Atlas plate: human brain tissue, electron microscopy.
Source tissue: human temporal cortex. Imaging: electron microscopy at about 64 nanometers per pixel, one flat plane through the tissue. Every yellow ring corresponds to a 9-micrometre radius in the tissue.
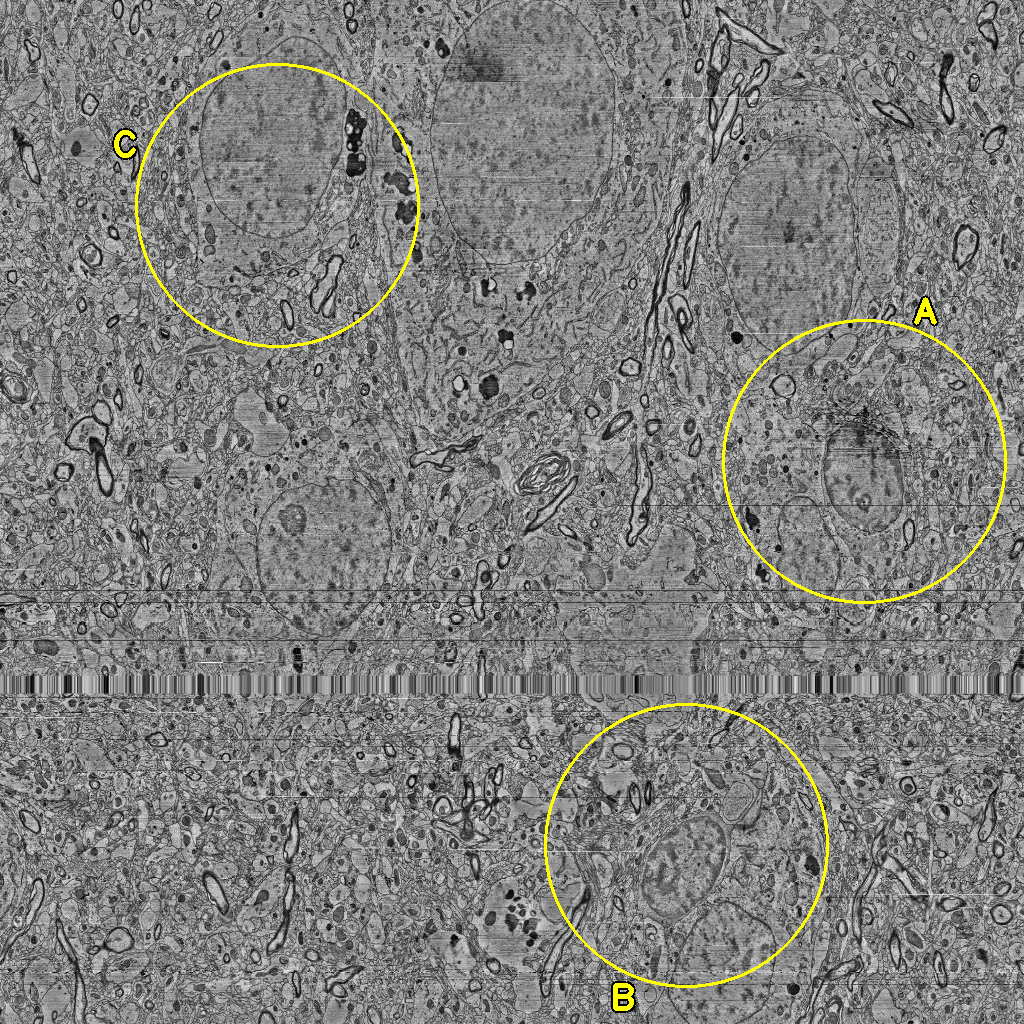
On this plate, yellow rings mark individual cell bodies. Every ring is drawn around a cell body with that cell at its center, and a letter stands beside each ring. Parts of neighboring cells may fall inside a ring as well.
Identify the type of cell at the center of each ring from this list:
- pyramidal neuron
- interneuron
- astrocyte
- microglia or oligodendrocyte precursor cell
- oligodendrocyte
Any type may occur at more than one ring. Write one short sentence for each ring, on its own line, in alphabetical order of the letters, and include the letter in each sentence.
At the center of ring A lies an oligodendrocyte.
At the center of ring B lies an oligodendrocyte.
At the center of ring C lies a pyramidal neuron.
